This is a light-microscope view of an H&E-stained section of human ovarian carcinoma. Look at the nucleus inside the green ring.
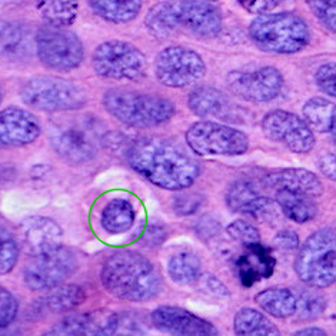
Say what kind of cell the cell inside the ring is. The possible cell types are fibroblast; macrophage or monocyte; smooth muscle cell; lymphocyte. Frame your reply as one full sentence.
It is a macrophage or monocyte that the cell inside the ring represents.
